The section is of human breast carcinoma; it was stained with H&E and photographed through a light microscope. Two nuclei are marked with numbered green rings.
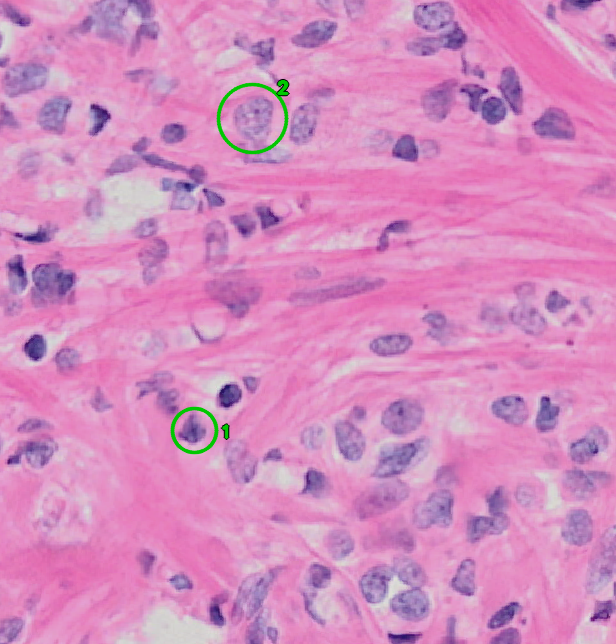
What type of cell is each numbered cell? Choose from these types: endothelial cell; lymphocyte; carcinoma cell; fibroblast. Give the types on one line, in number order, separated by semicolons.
lymphocyte; carcinoma cell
